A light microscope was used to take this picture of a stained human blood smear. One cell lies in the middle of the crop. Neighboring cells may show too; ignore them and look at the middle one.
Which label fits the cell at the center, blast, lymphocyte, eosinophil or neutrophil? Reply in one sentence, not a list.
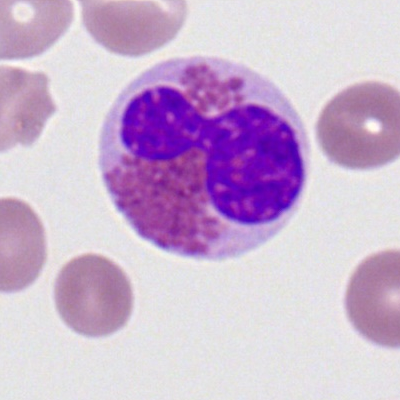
The cell found in the middle of this crop is an eosinophil.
